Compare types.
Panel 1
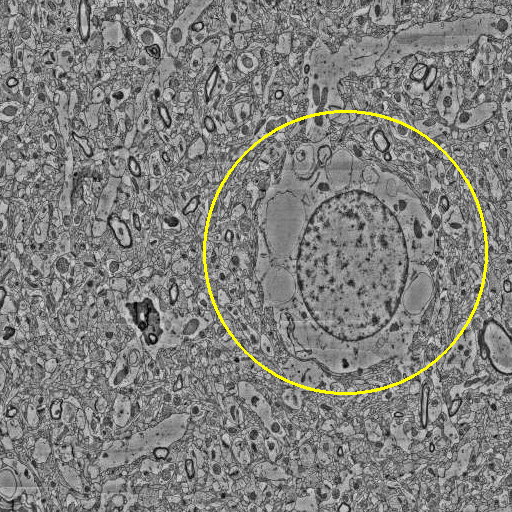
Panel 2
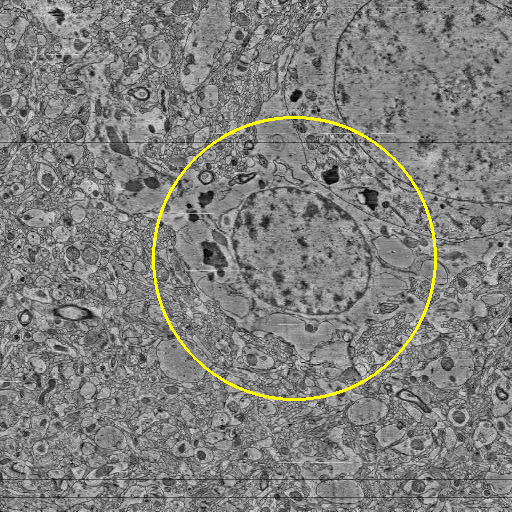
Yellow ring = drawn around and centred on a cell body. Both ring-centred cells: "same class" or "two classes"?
same class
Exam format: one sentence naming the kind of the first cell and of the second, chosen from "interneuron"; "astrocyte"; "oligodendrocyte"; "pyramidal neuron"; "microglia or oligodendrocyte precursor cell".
The second cell is an astrocyte, just as the first is.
